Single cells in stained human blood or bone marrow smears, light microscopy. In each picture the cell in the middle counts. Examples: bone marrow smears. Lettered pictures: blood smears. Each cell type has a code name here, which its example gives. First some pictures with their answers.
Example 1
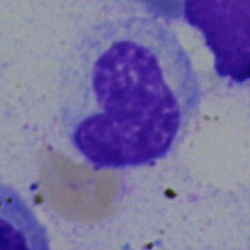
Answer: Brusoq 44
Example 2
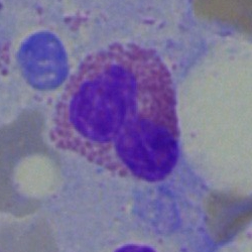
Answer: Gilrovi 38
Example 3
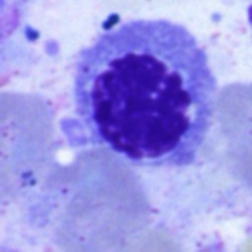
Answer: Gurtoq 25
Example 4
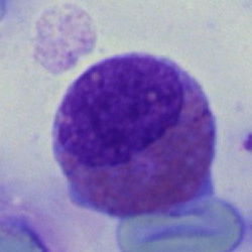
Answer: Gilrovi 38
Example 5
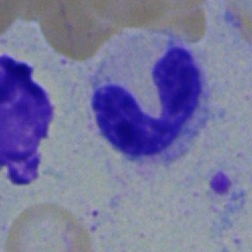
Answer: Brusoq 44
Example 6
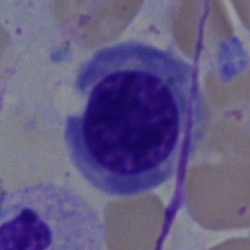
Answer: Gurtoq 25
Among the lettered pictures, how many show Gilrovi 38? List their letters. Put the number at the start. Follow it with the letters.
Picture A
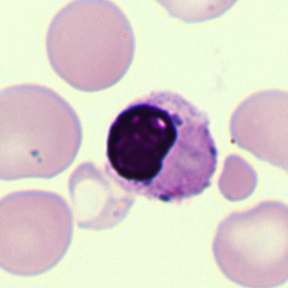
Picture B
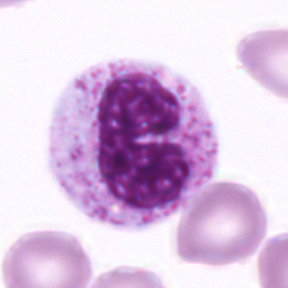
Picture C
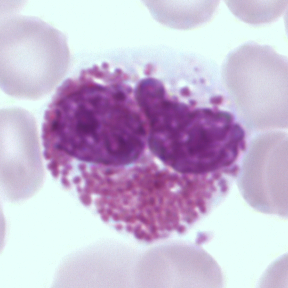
1, namely C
